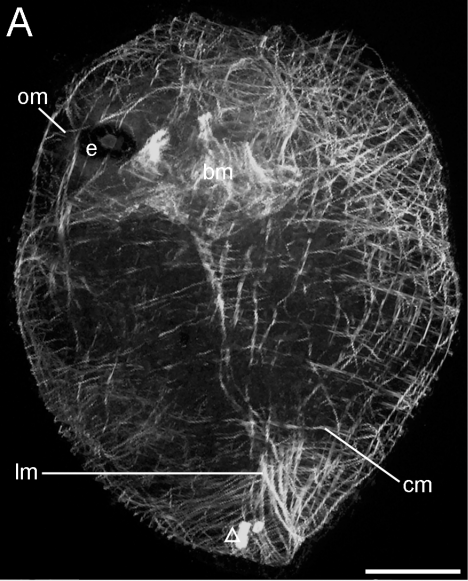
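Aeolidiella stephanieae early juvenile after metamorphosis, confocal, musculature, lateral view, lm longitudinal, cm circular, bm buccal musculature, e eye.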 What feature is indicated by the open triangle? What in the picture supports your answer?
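Larval retractor muscle. At the posterior end a small bright fragmented structure sits beside the open triangle. It stands apart from the fine meshwork of body wall fibres. Longitudinal fibres converge toward it at the posterior tip.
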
